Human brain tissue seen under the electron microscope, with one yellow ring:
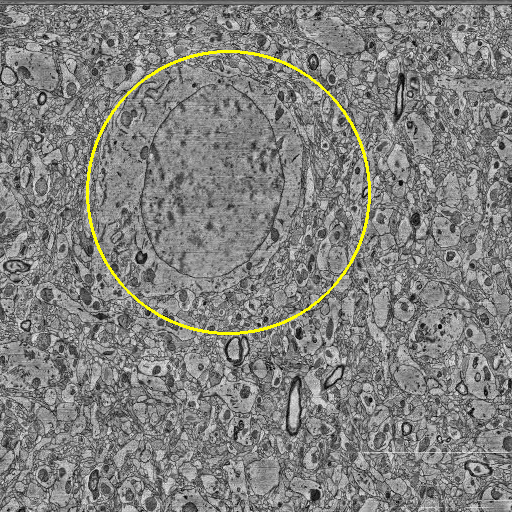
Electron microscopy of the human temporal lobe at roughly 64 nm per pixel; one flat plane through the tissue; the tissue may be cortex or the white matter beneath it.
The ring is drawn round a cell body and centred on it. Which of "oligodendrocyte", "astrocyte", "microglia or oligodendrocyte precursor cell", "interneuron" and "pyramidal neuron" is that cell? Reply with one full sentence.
The picture shows a pyramidal neuron at the very centre of the yellow ring.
